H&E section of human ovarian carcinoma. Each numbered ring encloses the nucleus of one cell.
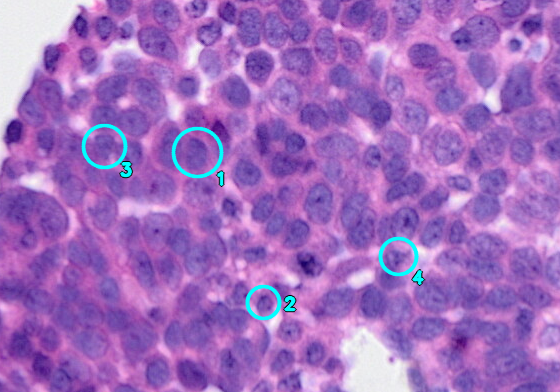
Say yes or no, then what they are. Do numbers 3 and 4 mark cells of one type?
No, cell number 3 is a carcinoma cell and cell number 4 is a macrophage or monocyte.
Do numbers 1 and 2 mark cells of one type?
No, in contrast to cell 2, which is a macrophage or monocyte, cell 1 is a carcinoma cell.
